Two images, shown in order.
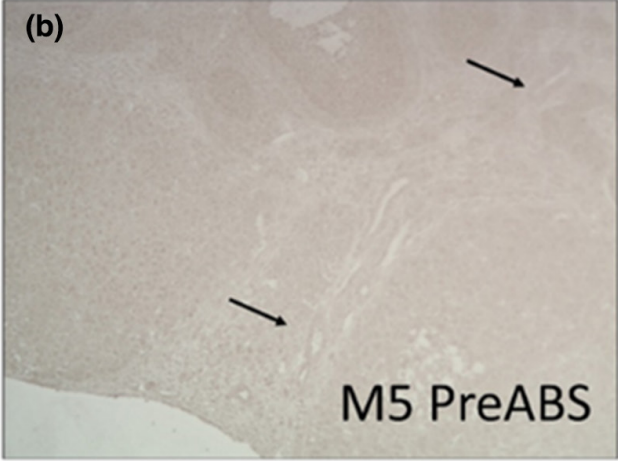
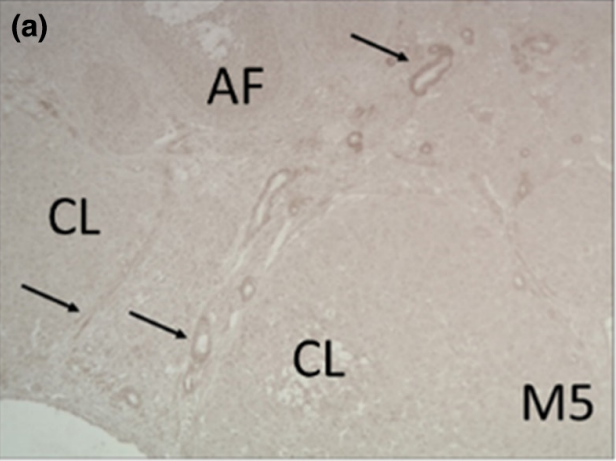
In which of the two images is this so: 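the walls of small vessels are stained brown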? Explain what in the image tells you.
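The second image. First image: vessel profiles at the arrows are pale, without brown walls. Second image: vessel profiles at the arrows have brownish walls.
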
